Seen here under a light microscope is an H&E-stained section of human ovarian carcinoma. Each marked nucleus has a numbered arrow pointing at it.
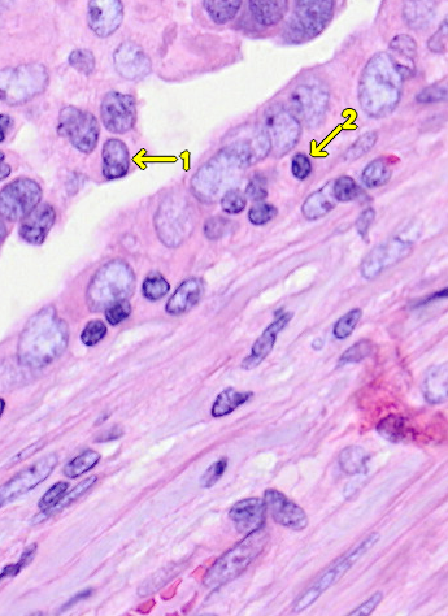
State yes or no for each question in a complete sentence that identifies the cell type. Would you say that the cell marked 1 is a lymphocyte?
No, cell number 1 is identified as a macrophage or monocyte, not as a lymphocyte.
